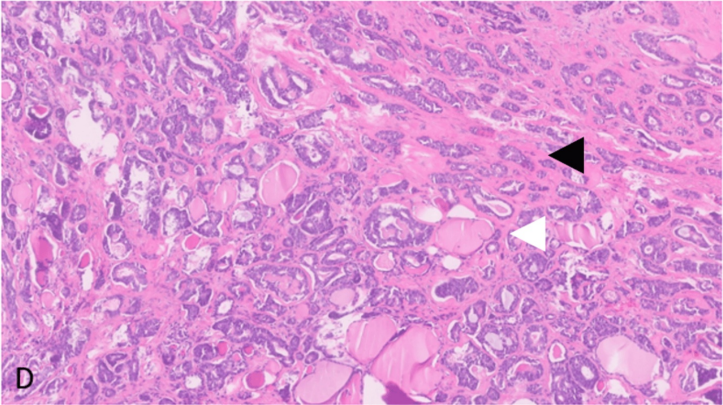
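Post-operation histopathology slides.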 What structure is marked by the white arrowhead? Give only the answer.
thyroid follicles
